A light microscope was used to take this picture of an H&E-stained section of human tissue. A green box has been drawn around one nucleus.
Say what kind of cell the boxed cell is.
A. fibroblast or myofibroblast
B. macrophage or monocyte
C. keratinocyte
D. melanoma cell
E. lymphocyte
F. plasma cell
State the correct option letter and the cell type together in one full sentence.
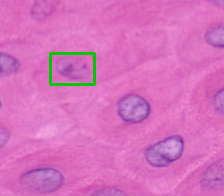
Here the correct option is C, since the boxed cell is a keratinocyte.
